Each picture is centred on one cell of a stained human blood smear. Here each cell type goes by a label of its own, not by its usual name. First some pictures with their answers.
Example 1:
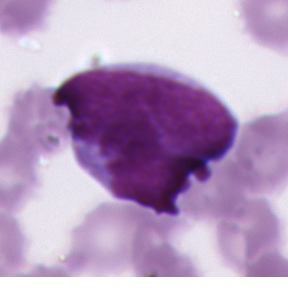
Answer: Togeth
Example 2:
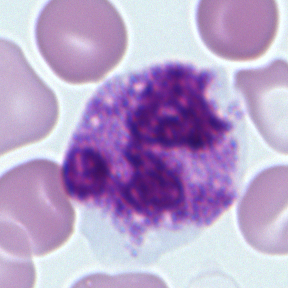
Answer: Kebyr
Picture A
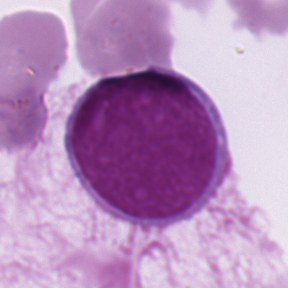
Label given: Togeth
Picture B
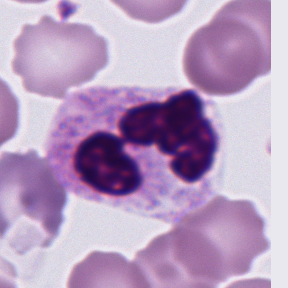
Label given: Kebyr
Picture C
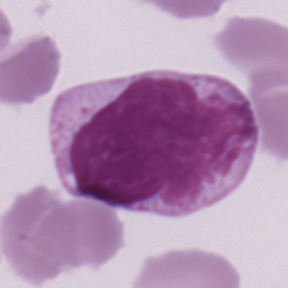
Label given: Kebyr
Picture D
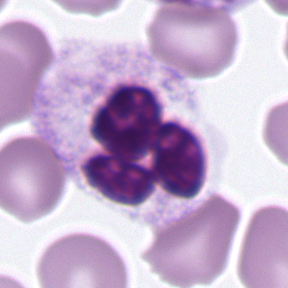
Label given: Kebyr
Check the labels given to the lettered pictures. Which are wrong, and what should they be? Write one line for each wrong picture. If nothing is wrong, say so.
C is labelled Kebyr; correct label: Togeth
